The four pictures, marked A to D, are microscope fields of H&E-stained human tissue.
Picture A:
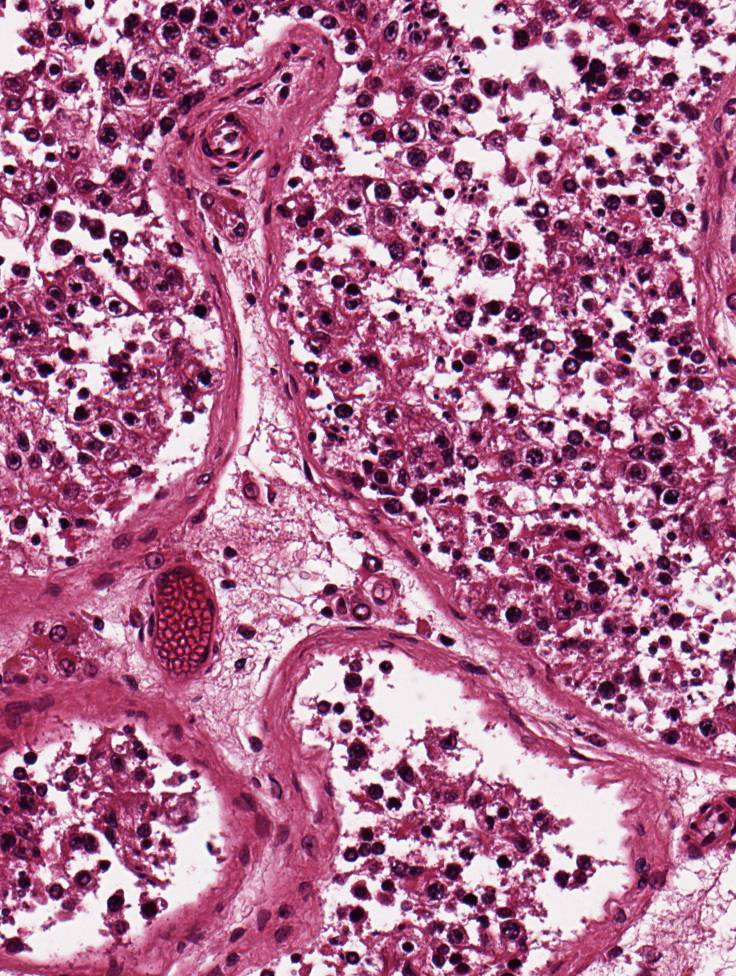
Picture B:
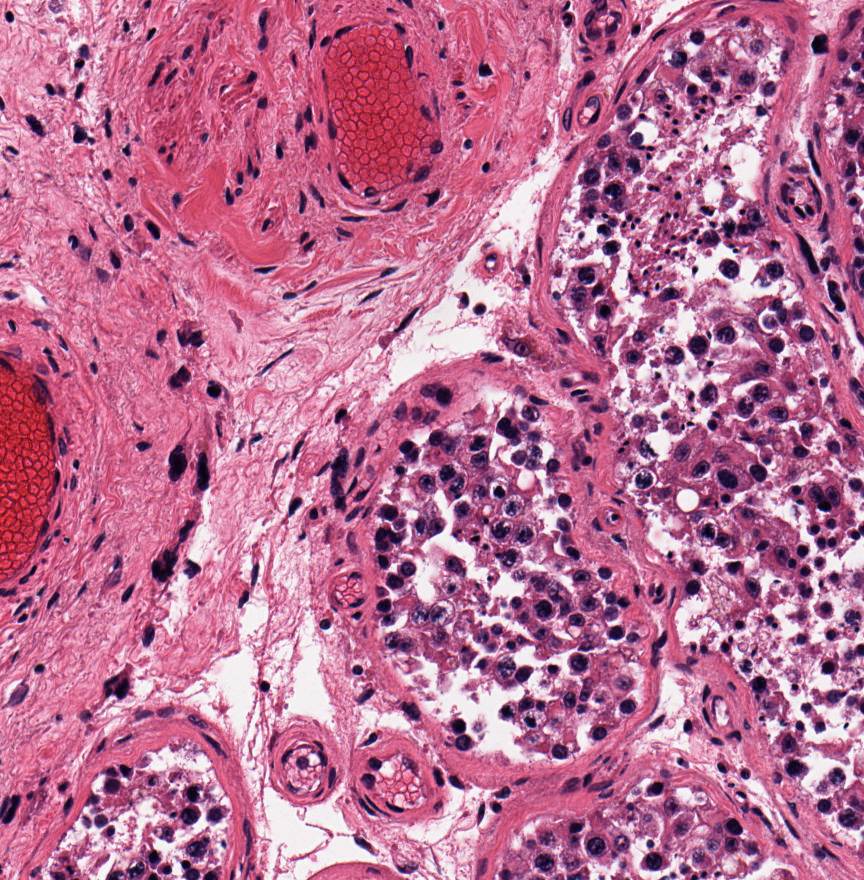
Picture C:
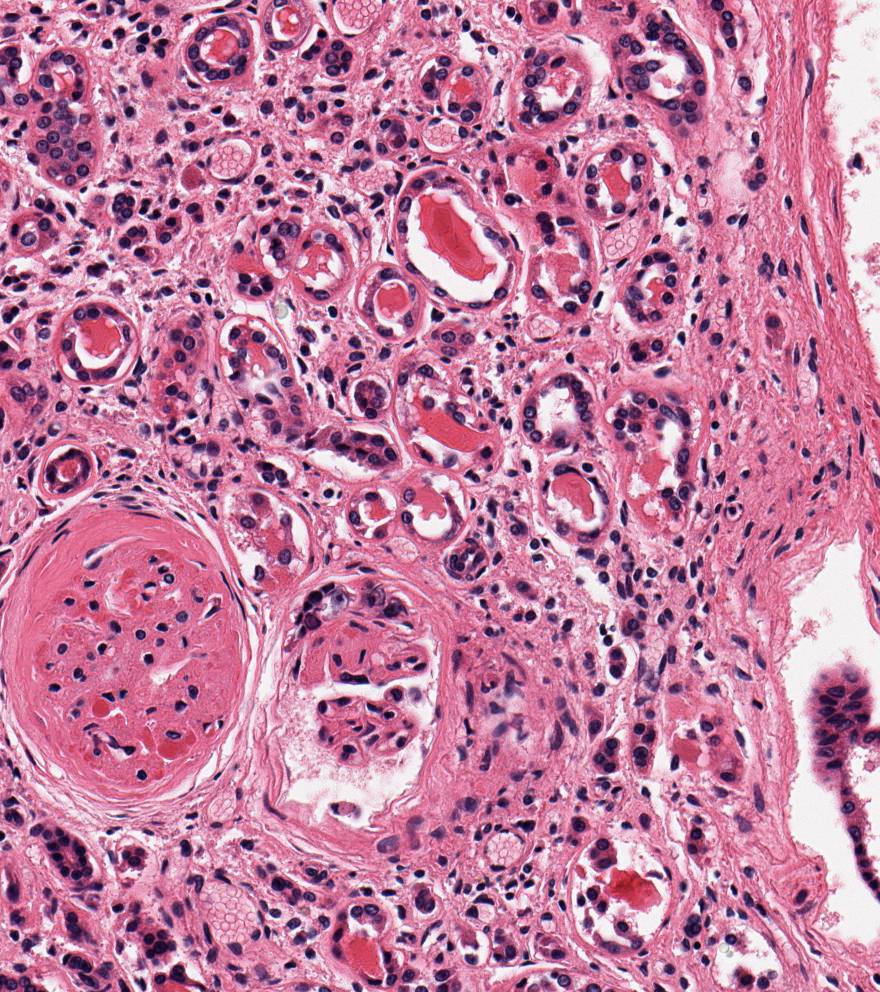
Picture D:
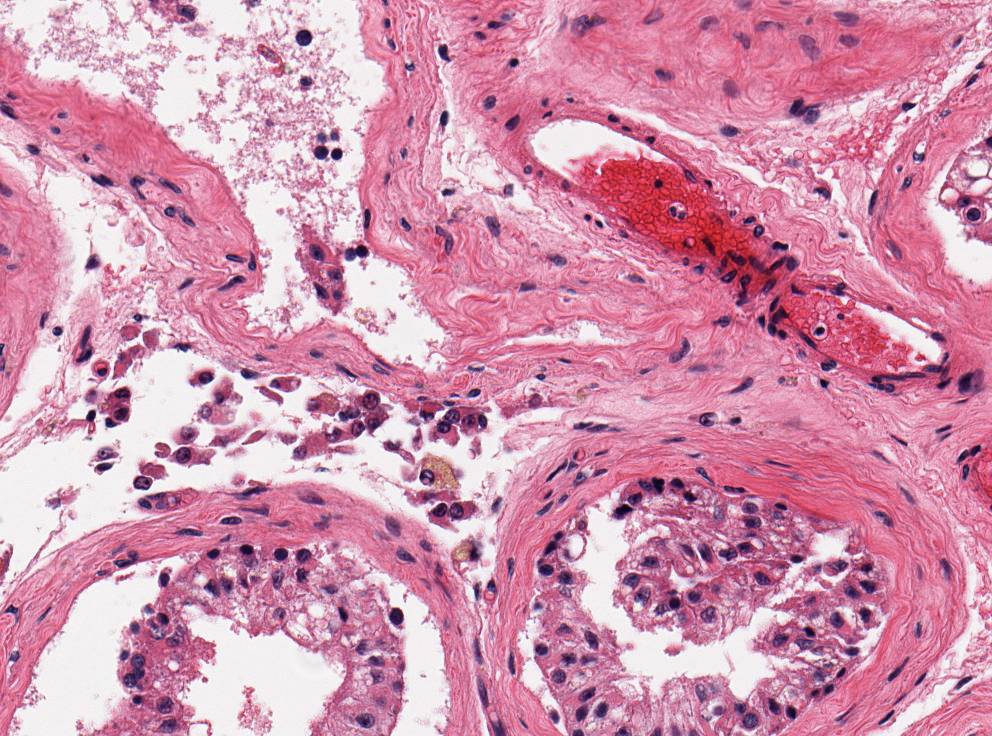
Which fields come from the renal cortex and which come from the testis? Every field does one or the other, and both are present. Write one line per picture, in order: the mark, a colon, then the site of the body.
A: testis
B: testis
C: renal cortex
D: testis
